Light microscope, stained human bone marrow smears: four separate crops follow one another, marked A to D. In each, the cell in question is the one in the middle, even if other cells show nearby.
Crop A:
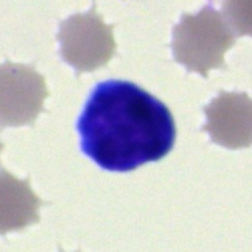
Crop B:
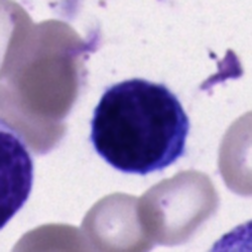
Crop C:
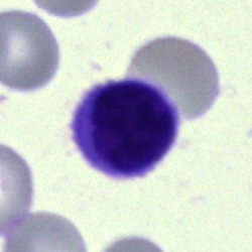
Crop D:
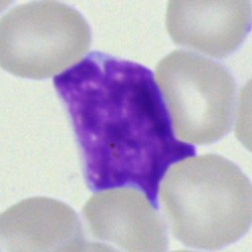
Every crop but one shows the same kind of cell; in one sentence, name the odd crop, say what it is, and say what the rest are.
Among the crops, crop D is unique in showing a blast; the others show lymphocytes.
